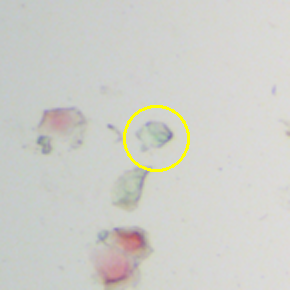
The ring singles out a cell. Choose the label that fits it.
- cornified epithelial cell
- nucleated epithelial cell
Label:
cornified epithelial cell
